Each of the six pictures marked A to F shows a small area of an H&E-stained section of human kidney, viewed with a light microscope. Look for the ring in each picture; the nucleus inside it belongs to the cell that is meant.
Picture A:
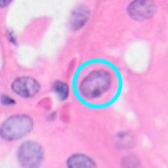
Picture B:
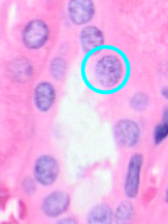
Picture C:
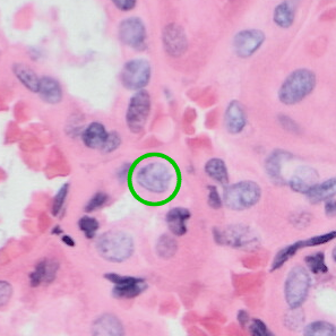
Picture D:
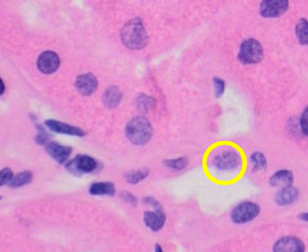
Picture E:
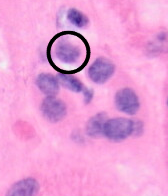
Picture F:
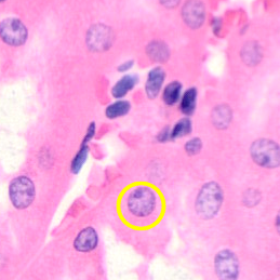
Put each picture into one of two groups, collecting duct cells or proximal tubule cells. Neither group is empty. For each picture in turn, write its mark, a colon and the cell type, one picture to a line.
A: proximal tubule cell
B: collecting duct cell
C: collecting duct cell
D: collecting duct cell
E: collecting duct cell
F: proximal tubule cell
